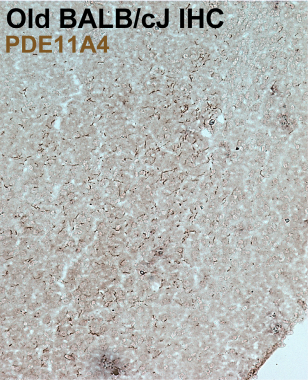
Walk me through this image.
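This brightfield view of brain tissue shows a pale background scattered with many small, dark brown profiles. The brown profiles are thin, short and often bent or wavy, like fragments of fine threads cut in the section. They are spread fairly evenly over most of the field, with pale gaps in between where cell bodies would lie. No counterstain marks the nuclei clearly.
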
